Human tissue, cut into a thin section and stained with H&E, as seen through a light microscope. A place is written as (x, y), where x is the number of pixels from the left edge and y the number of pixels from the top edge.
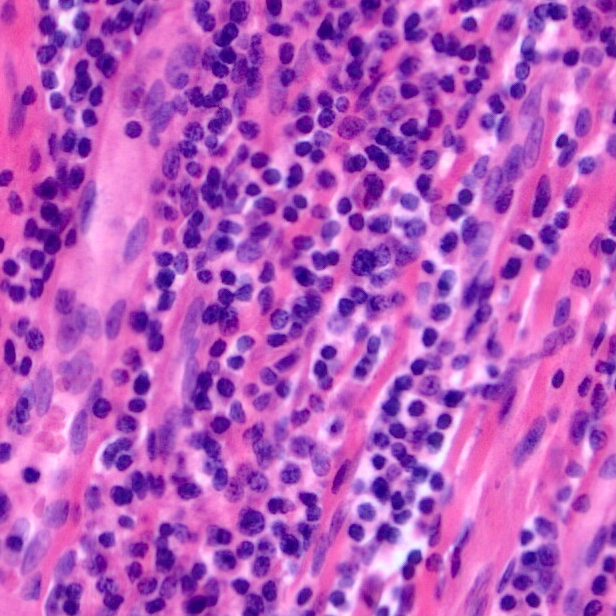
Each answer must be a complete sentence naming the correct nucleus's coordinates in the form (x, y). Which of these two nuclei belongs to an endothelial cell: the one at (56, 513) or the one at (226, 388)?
In this pair, the nucleus at (56, 513) belongs to an endothelial cell.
